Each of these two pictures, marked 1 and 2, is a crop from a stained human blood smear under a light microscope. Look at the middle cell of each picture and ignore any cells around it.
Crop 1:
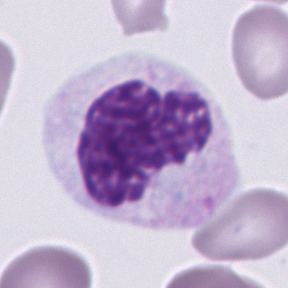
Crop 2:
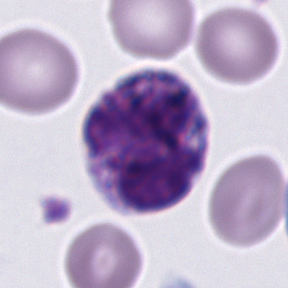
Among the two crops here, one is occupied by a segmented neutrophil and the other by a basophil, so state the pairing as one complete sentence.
Within crop 1 sits a segmented neutrophil, and within crop 2 sits a basophil.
